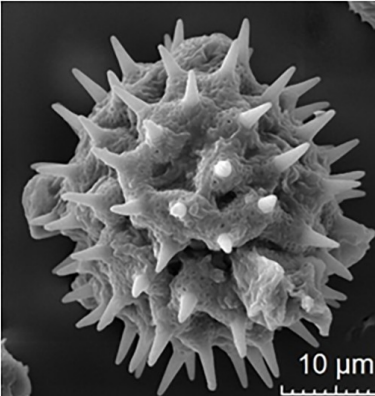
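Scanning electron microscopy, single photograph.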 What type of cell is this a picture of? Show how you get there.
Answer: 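Pollen grain. A single rounded grain fills the frame. Its surface carries many long pointed conical spines. The wall between the spines is wrinkled.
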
